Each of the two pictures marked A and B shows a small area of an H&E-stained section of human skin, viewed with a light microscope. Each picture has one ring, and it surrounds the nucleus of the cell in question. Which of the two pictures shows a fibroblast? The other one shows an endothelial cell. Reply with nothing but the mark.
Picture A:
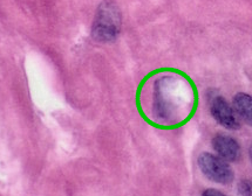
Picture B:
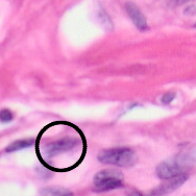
A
